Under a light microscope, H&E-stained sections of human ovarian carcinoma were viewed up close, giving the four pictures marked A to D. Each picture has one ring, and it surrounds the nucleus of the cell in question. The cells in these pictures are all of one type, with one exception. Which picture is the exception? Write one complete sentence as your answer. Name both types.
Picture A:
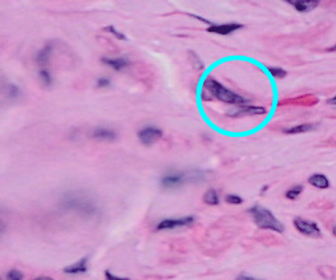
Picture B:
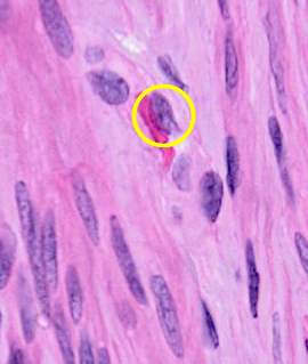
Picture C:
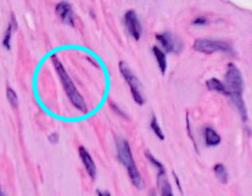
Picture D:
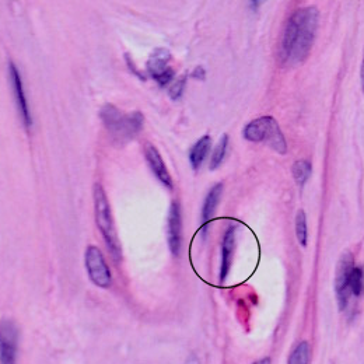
Picture C is the odd one out: it shows a smooth muscle cell, while the others show endothelial cells.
